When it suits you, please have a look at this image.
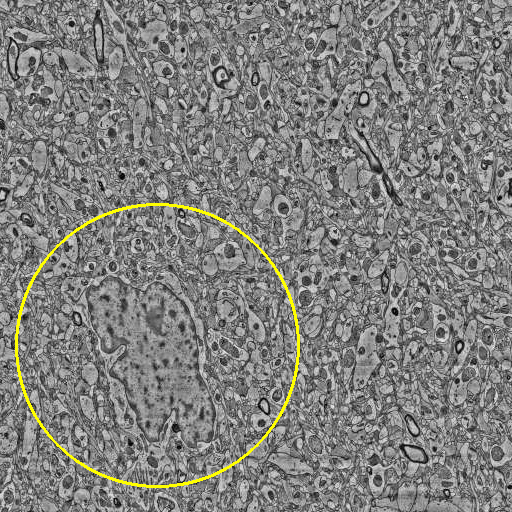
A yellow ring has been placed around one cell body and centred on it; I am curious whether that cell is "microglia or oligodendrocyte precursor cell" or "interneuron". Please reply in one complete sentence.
The ringed cell, a microglial cell or oligodendrocyte precursor cell, has its body at the centre of the yellow ring.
